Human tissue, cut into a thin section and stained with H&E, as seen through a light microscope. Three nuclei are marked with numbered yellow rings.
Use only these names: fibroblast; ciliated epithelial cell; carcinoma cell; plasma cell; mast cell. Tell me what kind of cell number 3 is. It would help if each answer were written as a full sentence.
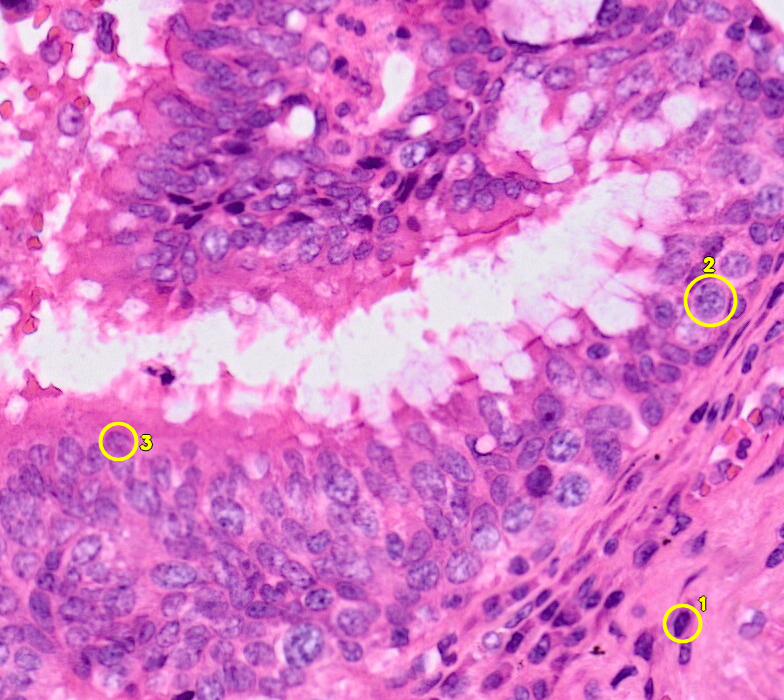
The cell pointed out by number 3 is a ciliated epithelial cell.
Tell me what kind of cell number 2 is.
Cell 2 should be recorded as a ciliated epithelial cell.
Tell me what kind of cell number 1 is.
The nucleus with number 1 is that of a plasma cell.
